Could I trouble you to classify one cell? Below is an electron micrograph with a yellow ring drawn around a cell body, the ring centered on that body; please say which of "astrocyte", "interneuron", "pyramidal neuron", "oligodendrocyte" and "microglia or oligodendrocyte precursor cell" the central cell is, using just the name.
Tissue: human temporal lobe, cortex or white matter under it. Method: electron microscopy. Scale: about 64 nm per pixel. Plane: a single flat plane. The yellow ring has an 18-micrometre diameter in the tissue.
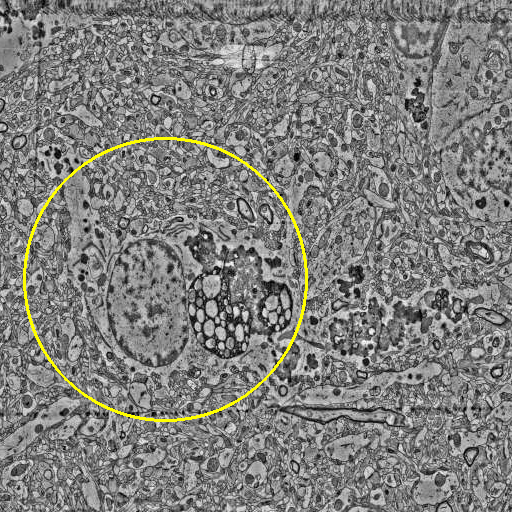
astrocyte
